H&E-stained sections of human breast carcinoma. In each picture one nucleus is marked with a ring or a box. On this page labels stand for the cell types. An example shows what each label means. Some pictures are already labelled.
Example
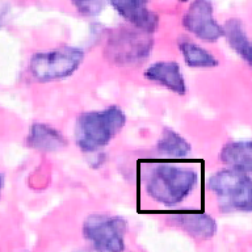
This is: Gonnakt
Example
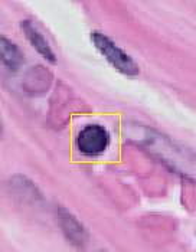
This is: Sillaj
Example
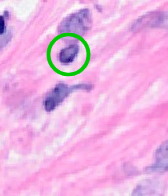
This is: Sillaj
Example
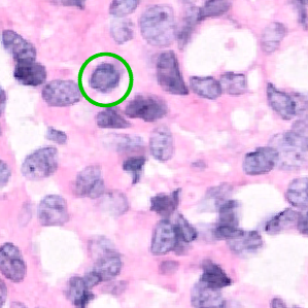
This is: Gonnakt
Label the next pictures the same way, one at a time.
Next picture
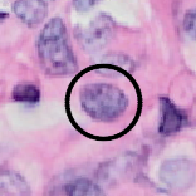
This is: Gonnakt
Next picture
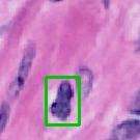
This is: Sillaj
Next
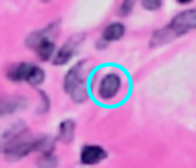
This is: Sillaj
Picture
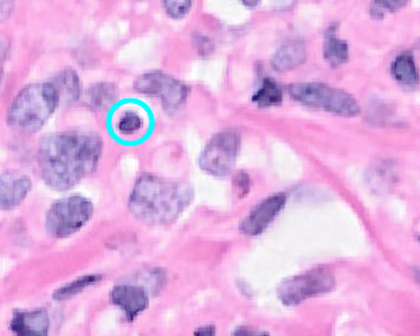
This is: Sillaj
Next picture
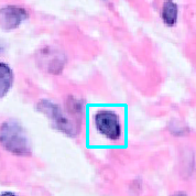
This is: Sillaj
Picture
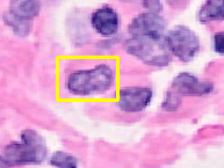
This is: Gonnakt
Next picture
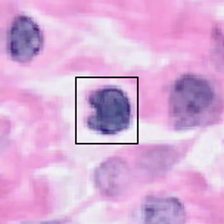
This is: Sillaj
